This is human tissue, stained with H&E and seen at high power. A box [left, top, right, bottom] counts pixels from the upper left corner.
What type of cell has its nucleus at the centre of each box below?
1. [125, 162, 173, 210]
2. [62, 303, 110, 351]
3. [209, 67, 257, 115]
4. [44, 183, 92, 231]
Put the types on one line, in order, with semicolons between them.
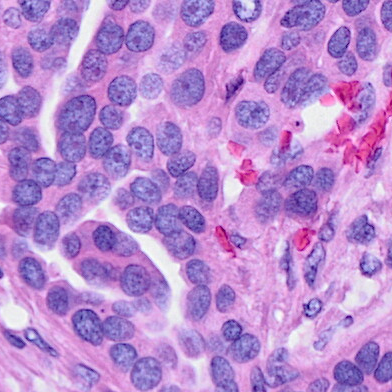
carcinoma cell; carcinoma cell; fibroblast; carcinoma cell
